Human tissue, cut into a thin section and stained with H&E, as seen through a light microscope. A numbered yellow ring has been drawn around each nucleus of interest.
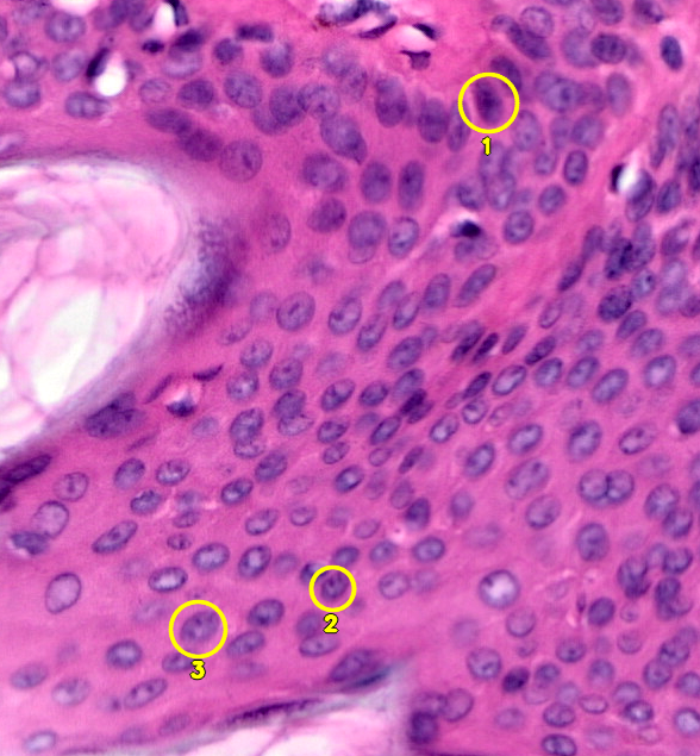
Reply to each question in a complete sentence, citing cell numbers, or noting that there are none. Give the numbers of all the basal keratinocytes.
Of those with numbers, only cell 1 is a basal keratinocyte.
